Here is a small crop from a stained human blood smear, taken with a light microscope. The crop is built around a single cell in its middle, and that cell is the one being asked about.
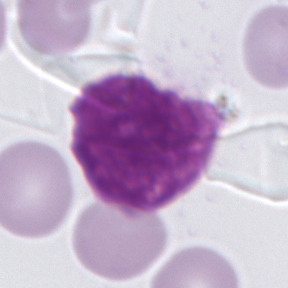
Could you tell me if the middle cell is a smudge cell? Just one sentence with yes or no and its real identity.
Yes, that middle cell in the crop is a smudge cell.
